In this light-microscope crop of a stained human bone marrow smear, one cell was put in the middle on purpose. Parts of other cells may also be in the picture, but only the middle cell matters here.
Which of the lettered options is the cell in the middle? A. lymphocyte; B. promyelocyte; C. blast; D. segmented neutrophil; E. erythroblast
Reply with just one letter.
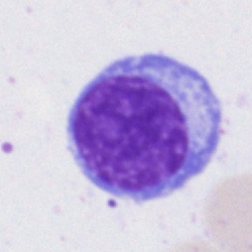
A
